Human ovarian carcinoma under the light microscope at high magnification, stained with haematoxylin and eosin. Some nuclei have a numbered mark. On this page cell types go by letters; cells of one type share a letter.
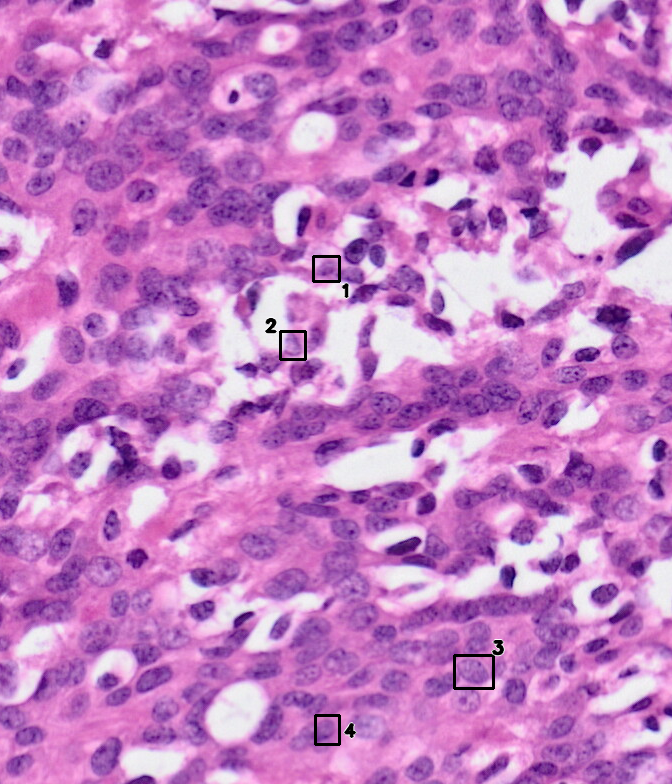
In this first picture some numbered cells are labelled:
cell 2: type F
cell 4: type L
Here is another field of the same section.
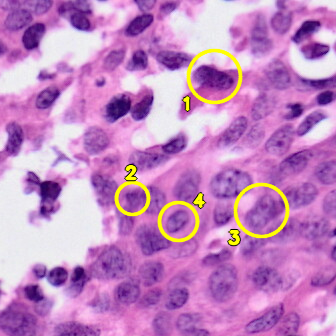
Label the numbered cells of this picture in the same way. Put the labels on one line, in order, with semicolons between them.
type L; type L; type L; type F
